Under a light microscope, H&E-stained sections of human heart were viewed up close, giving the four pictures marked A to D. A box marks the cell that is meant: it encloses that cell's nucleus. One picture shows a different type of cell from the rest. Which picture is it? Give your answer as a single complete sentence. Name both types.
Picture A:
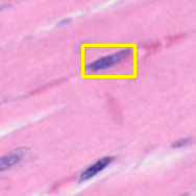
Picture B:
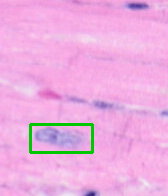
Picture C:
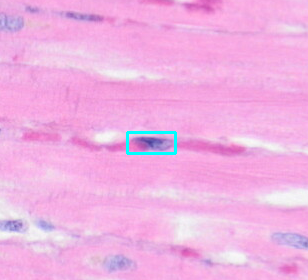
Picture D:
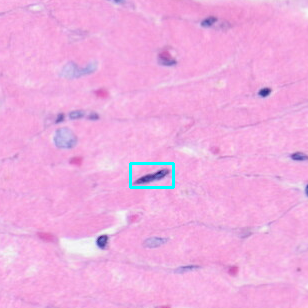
Picture B differs, because its cell is a cardiomyocyte and the rest are endothelial cells.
